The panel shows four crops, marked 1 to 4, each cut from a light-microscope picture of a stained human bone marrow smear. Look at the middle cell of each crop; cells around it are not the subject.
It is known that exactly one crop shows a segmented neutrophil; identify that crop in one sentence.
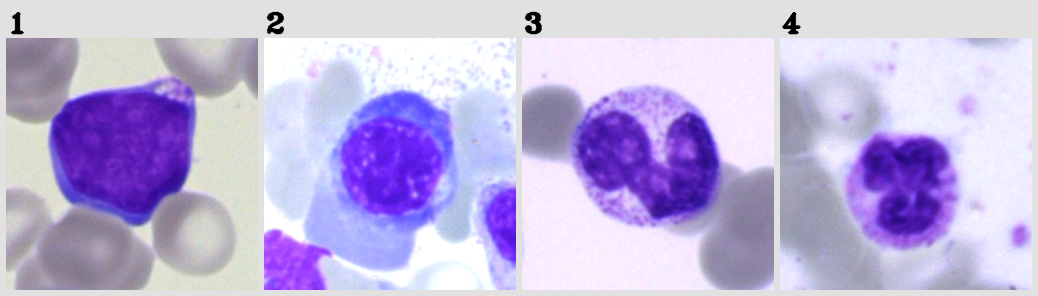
Among the crops given, only crop 4 shows a segmented neutrophil.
